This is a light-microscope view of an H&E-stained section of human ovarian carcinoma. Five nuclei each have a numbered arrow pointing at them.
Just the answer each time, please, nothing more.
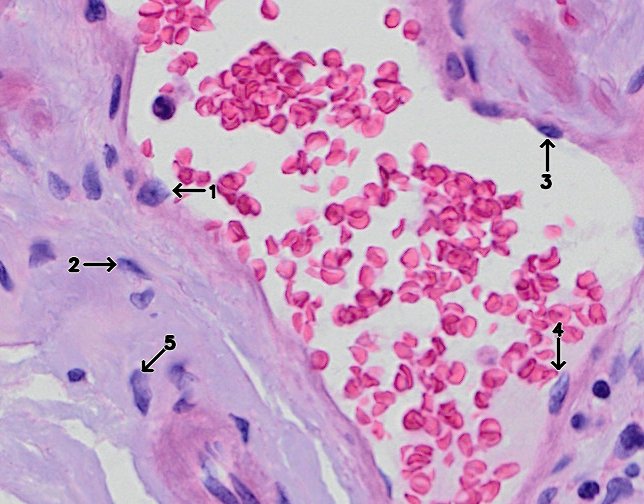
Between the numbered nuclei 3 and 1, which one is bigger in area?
1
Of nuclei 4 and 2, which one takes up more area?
4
